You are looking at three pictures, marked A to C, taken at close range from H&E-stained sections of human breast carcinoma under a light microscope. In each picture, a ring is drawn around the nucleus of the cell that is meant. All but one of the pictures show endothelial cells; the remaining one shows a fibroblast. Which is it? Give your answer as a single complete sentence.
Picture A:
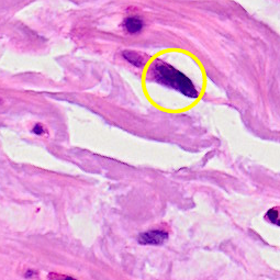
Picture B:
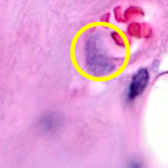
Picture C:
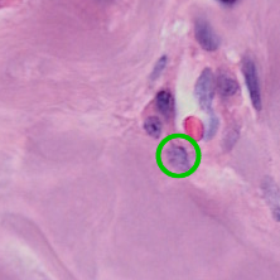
The cell in picture A is the fibroblast.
